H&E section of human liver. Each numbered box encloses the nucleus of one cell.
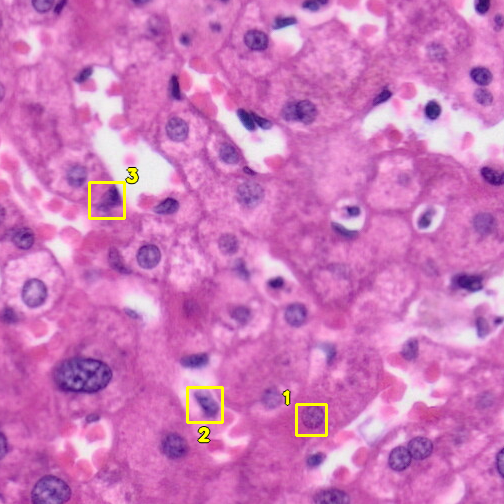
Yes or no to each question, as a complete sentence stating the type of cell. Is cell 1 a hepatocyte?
Yes, the cell with number 1 is a hepatocyte.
